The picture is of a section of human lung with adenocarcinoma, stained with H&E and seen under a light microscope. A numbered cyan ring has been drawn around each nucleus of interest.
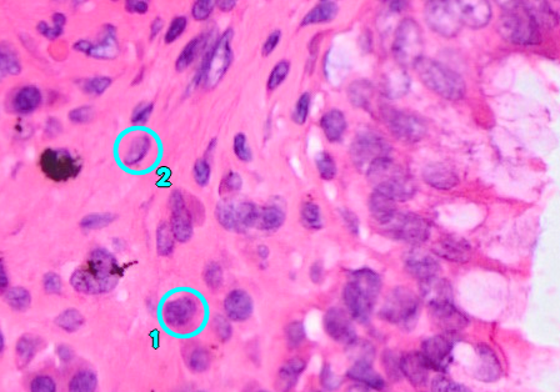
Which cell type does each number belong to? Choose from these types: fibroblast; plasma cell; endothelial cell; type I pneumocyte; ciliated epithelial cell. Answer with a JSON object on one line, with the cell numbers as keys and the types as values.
{"1": "plasma cell", "2": "fibroblast"}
